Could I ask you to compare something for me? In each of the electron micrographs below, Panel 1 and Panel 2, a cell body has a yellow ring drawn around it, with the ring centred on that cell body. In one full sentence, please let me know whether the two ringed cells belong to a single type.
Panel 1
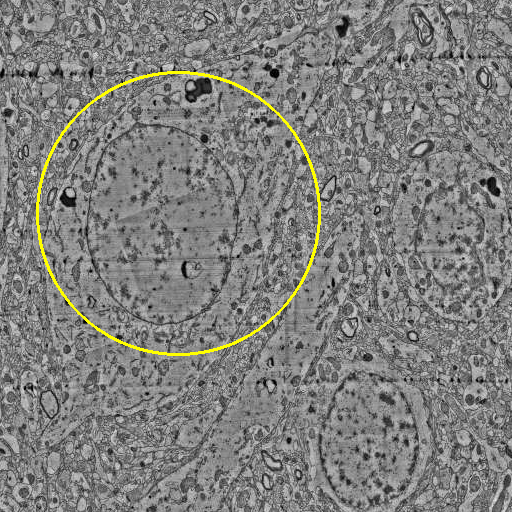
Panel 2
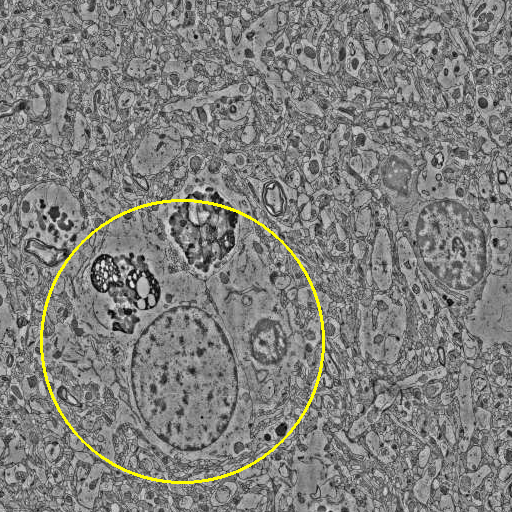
No, the two cells at the centres of the rings are of two types.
